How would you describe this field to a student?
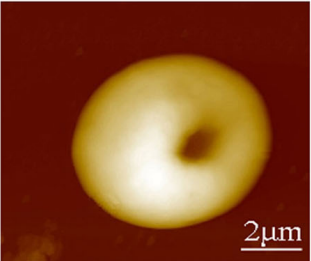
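A single erythrocyte seen in surface relief, round in outline with a thick raised rim and a deep central depression, giving a doughnut-like form. The surface is smooth at this scale and the cell lies alone on a flat background. The depression sits slightly off centre.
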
